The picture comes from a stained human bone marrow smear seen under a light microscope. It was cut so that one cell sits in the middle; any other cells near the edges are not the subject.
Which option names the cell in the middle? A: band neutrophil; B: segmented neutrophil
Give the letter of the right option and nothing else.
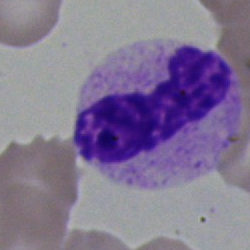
A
